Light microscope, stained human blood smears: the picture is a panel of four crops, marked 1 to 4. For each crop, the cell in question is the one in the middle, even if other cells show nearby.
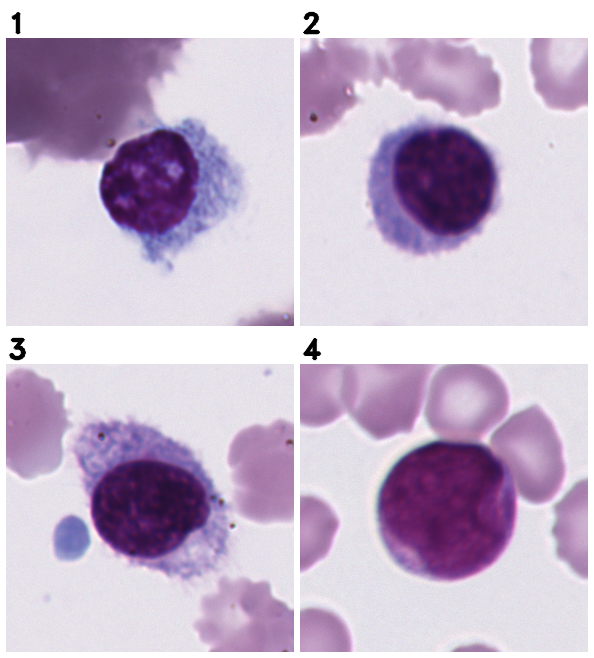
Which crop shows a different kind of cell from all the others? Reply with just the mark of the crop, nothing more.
4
